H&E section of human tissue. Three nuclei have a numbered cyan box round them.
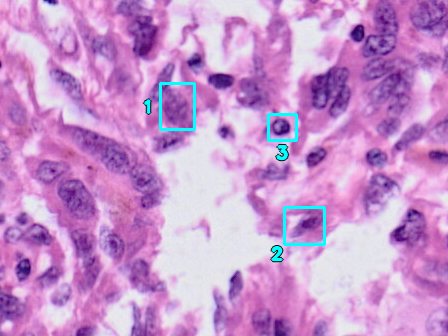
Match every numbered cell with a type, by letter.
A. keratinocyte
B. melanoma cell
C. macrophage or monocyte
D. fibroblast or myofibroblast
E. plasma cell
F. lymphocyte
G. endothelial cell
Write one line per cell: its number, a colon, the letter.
1: B
2: B
3: F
